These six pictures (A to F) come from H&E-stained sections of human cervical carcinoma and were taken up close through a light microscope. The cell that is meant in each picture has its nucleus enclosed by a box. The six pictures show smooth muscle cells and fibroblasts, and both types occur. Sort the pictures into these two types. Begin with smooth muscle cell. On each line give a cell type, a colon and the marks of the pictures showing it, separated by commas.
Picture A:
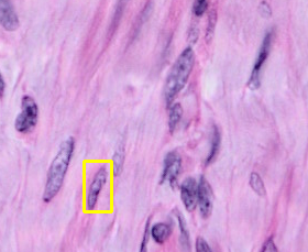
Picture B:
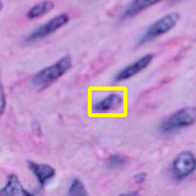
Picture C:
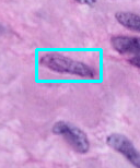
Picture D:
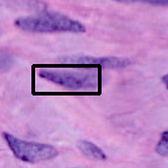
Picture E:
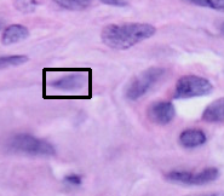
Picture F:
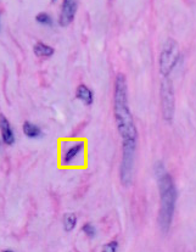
smooth muscle cell: A, B, F
fibroblast: C, D, E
